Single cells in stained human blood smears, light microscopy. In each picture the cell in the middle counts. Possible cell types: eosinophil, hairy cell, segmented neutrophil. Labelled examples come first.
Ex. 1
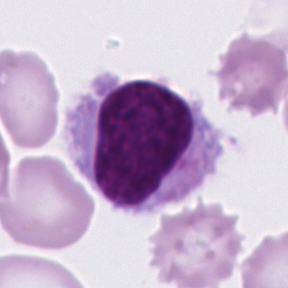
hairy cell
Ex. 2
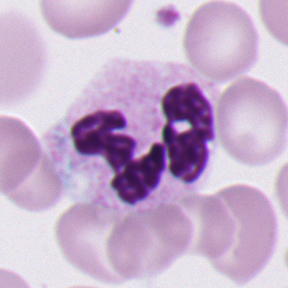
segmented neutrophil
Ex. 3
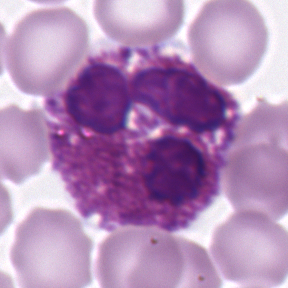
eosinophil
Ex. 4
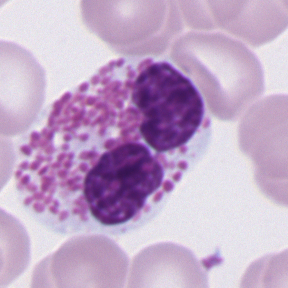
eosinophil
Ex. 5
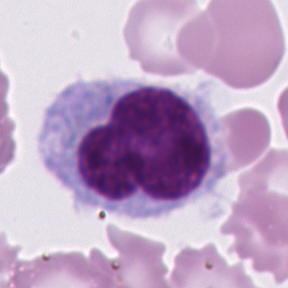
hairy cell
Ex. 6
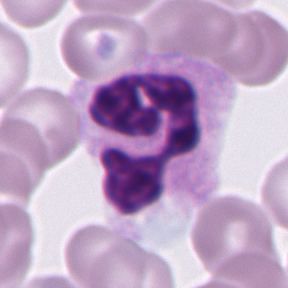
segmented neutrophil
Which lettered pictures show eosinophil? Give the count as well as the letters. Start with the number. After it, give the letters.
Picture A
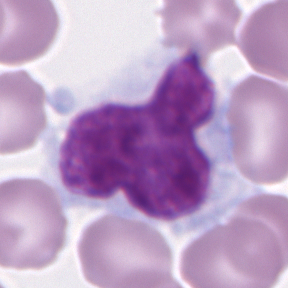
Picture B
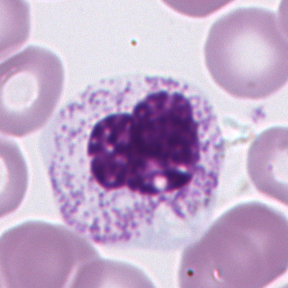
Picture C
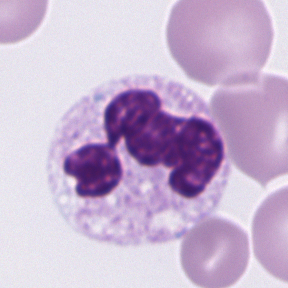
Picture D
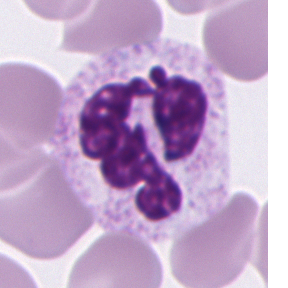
0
